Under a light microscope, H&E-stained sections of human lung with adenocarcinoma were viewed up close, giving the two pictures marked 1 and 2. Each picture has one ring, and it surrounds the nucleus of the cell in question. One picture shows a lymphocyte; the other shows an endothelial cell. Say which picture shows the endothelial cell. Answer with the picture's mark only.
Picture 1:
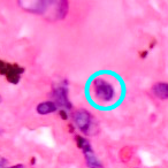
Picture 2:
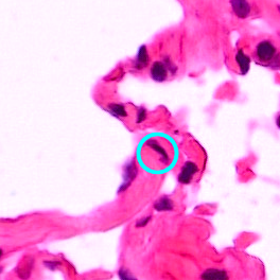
2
